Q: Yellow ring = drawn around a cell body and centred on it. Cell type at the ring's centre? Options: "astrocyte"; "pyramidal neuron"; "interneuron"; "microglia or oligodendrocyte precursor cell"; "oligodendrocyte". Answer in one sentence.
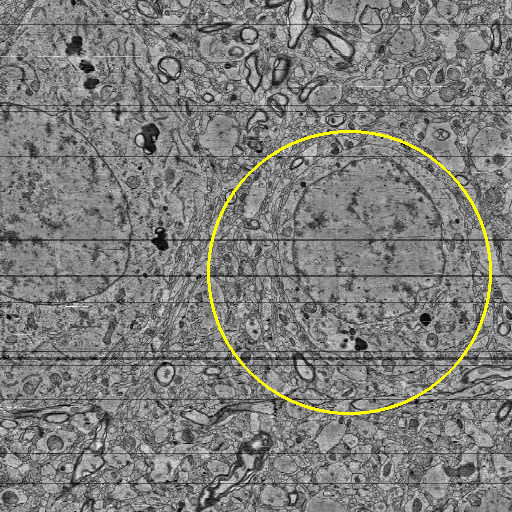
Centred in the ring is a pyramidal neuron.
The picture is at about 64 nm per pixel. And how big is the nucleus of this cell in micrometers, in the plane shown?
The ringed cell's nucleus is about 11 micrometres across in this plane.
